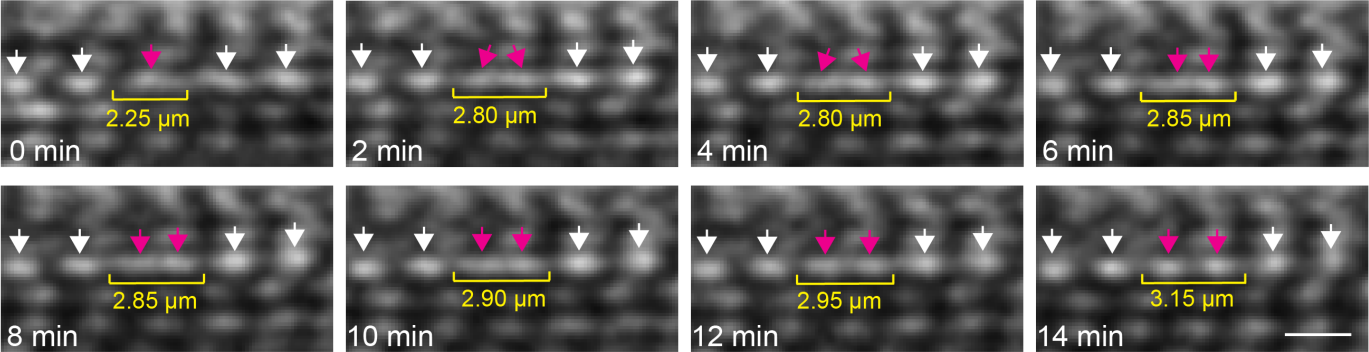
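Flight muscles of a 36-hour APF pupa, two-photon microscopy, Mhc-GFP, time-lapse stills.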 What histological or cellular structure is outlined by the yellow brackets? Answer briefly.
Sarcomere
